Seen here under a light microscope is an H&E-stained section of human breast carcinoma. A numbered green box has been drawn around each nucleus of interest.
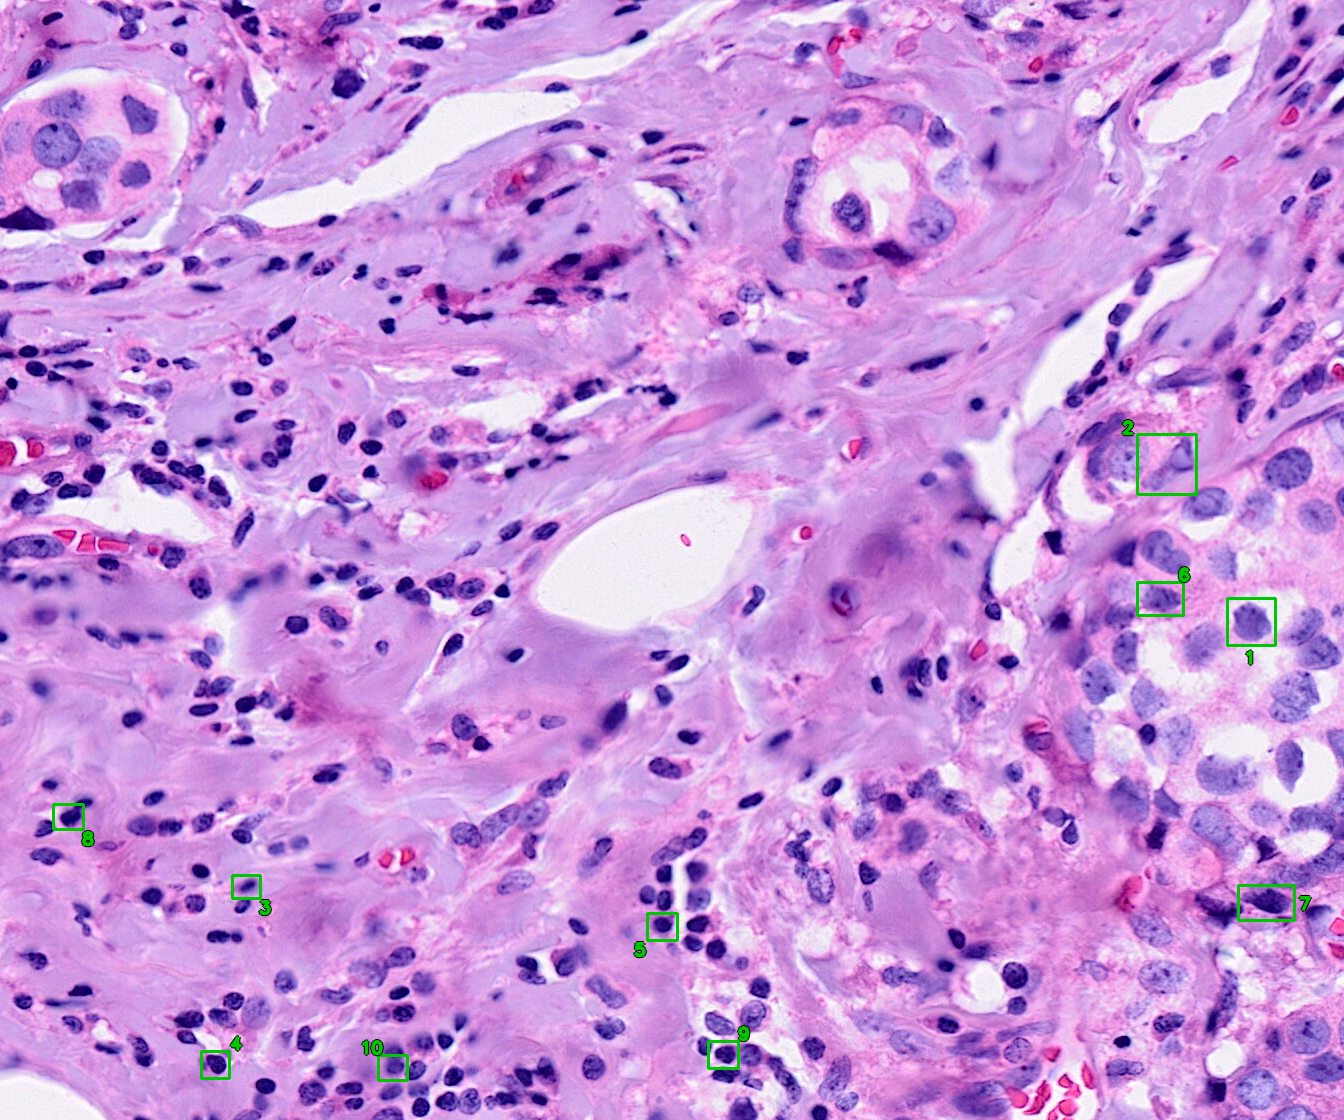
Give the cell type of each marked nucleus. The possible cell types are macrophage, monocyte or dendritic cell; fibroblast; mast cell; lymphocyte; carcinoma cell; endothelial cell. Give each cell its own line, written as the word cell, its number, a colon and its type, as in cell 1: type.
cell 1: carcinoma cell
cell 2: carcinoma cell
cell 3: lymphocyte
cell 4: lymphocyte
cell 5: lymphocyte
cell 6: carcinoma cell
cell 7: carcinoma cell
cell 8: lymphocyte
cell 9: lymphocyte
cell 10: lymphocyte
